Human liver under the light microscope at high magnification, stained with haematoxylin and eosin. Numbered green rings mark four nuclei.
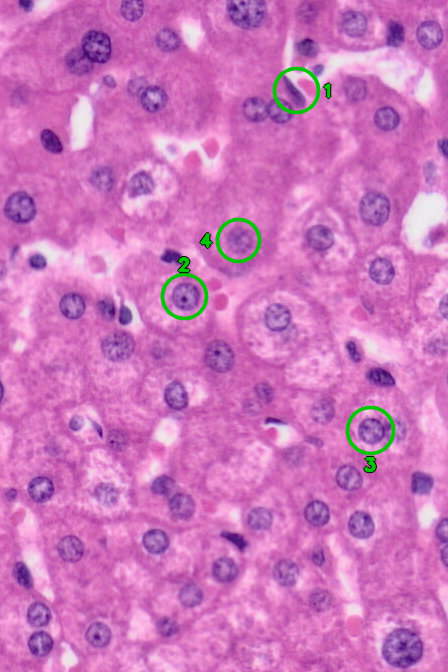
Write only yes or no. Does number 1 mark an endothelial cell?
yes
